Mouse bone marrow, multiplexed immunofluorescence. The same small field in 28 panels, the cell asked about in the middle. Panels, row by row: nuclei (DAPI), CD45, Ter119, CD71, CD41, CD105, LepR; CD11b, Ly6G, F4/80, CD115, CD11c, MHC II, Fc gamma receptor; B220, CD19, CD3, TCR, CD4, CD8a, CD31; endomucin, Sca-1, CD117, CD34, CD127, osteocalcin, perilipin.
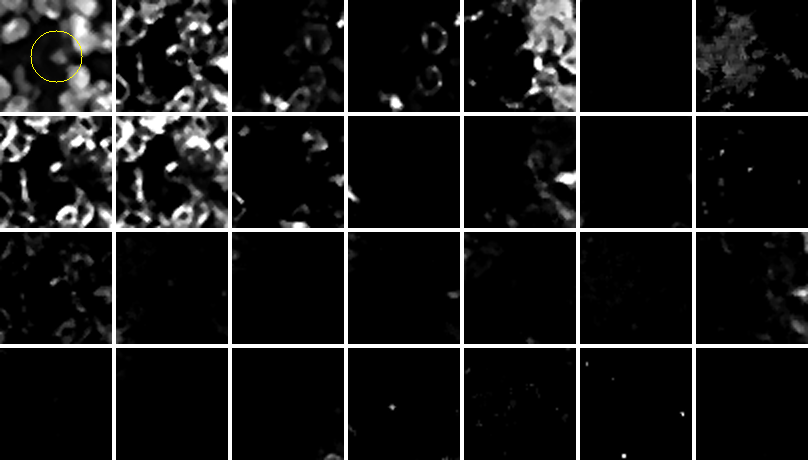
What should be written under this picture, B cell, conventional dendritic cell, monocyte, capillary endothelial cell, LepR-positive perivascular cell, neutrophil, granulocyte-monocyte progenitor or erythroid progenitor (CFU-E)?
neutrophil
